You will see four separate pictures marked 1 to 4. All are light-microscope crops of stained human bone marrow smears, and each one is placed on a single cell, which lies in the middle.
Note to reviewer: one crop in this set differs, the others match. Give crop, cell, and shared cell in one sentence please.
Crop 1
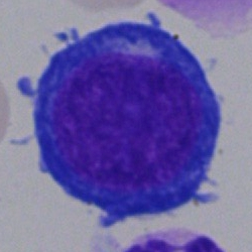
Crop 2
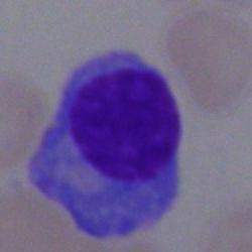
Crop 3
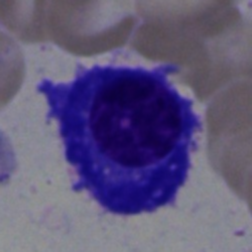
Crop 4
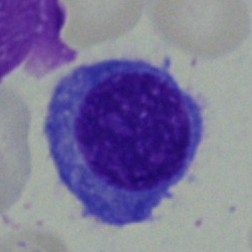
The different crop is 1; it is a proerythroblast, and the others all show plasma cells.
